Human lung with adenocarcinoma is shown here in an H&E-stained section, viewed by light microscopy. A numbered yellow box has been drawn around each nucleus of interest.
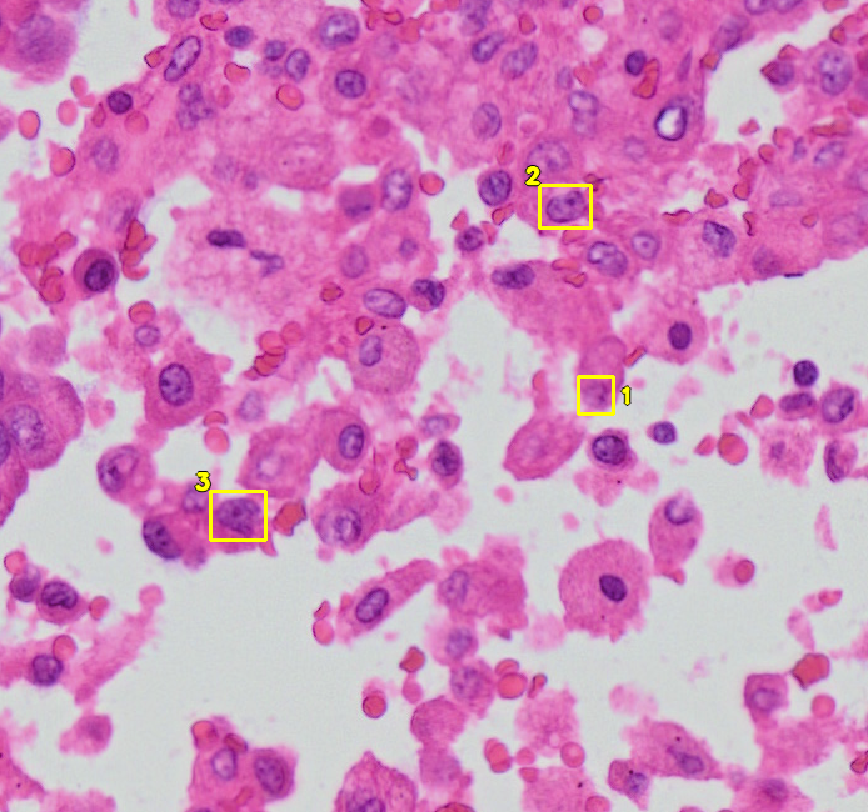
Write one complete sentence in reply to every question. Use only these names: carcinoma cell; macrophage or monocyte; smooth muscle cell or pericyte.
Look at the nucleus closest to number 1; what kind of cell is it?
Number 1 lies closest to the nucleus of a macrophage or monocyte.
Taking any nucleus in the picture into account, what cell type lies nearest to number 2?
The nucleus nearest to number 2 is that of a macrophage or monocyte.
